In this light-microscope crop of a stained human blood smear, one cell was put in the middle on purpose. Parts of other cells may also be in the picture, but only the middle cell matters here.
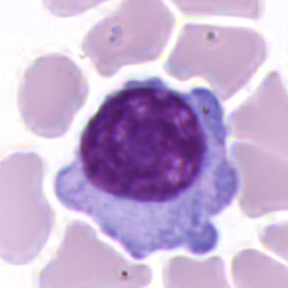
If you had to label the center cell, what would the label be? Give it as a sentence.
Of the cells in this crop, the central one is a plasma cell.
